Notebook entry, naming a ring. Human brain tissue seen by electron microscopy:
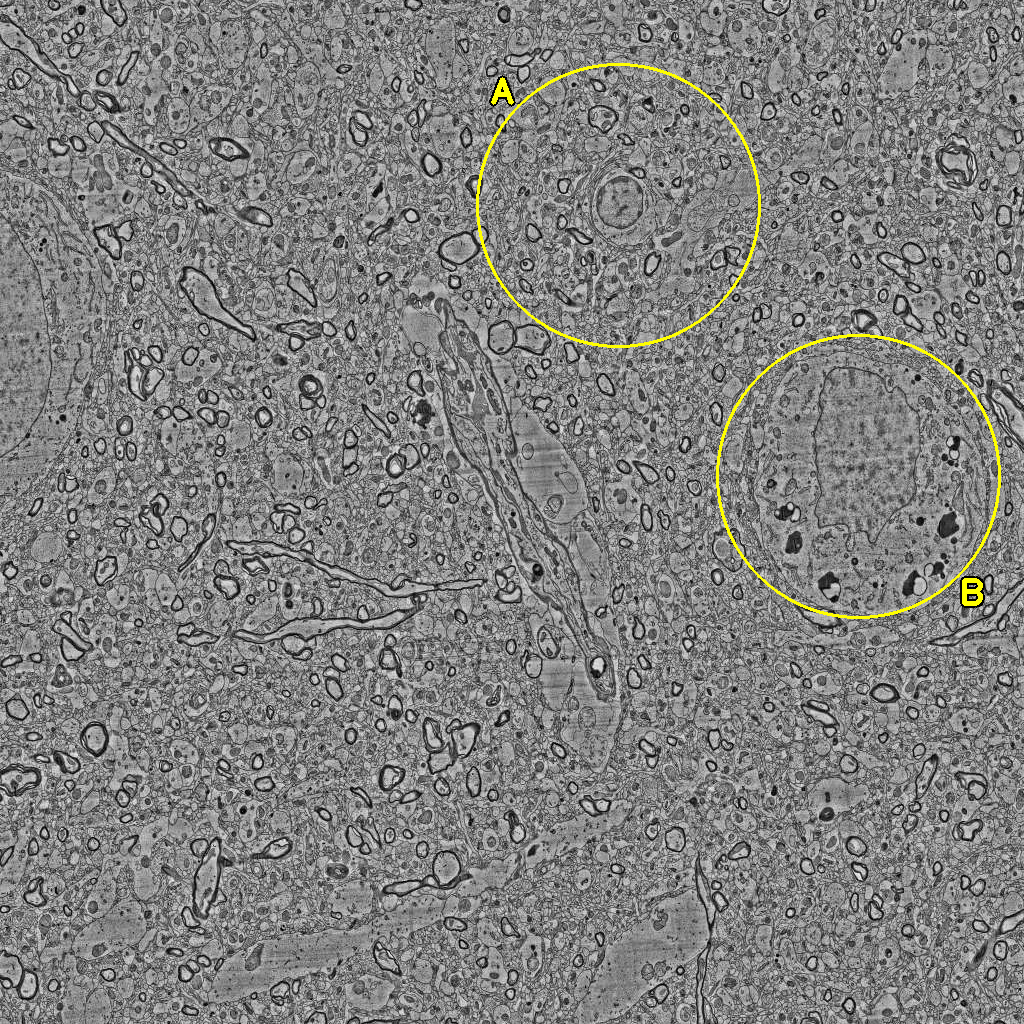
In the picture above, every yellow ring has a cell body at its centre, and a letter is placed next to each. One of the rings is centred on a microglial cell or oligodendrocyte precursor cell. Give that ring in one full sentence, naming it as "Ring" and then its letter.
Ring A is the ring whose centre holds the cell asked for.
